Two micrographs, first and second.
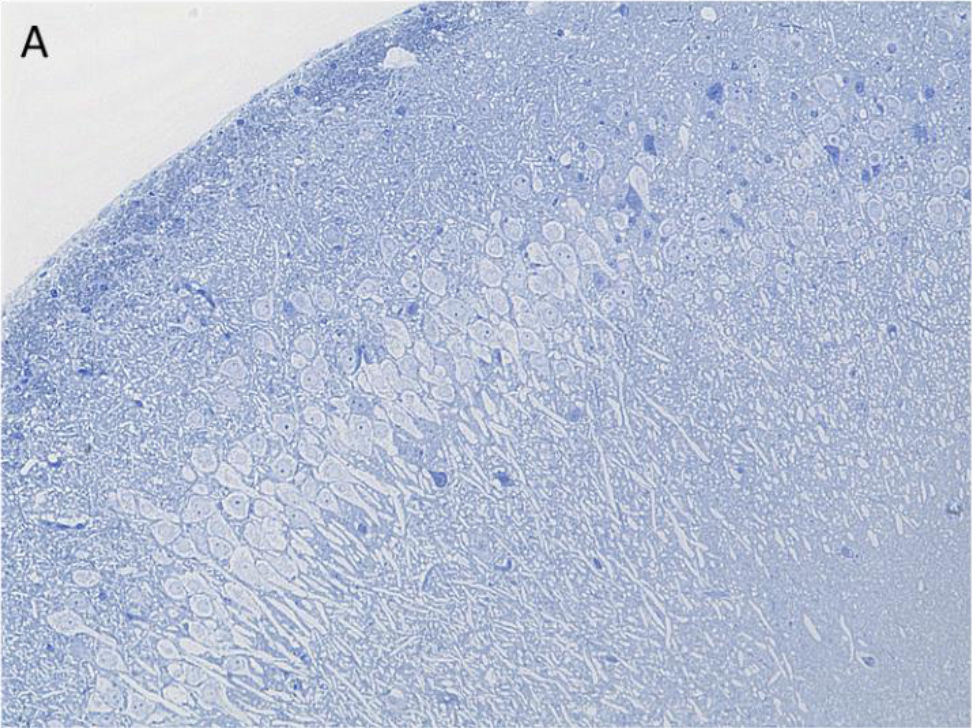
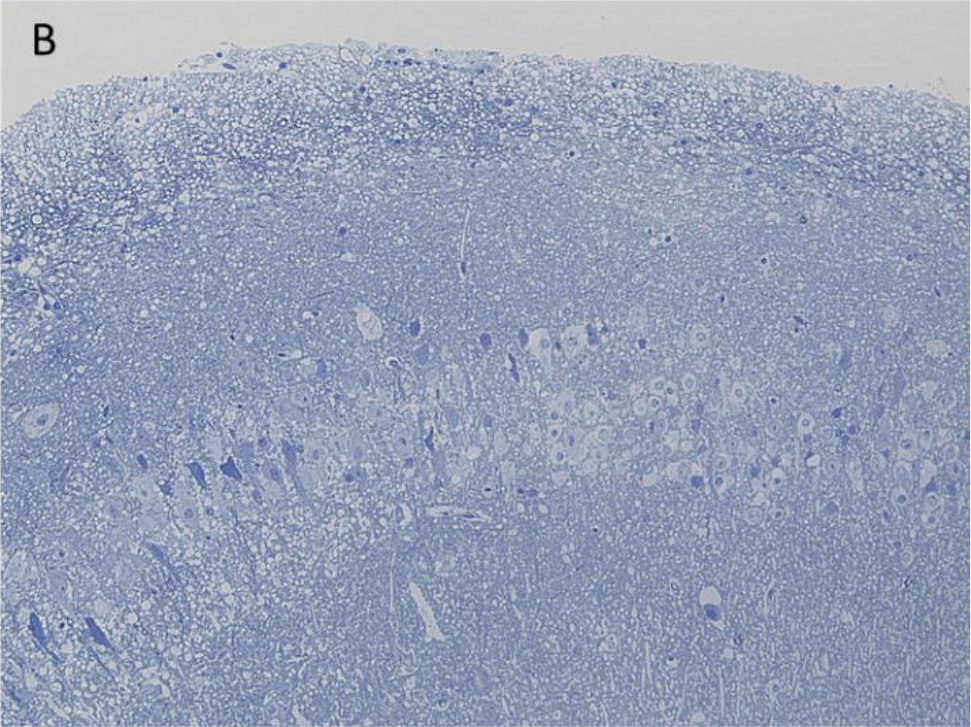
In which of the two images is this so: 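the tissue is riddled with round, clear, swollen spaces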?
The second image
